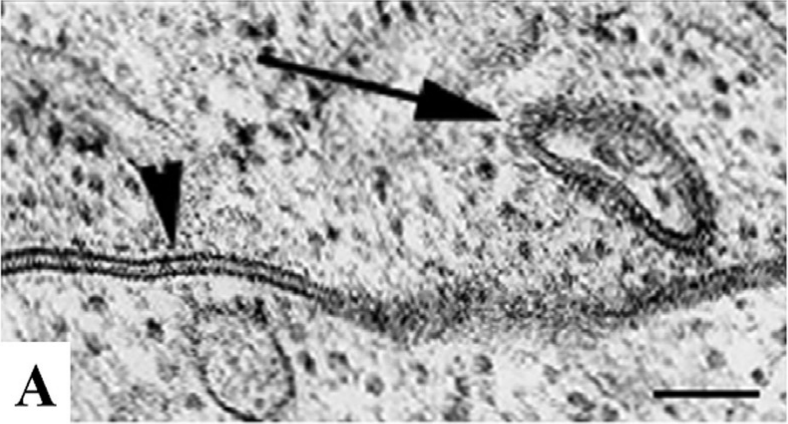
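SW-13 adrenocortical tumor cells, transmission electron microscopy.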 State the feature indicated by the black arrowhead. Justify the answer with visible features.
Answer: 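The apposed membranes form a layered, multilaminar band.
Hence: gap junction plaques.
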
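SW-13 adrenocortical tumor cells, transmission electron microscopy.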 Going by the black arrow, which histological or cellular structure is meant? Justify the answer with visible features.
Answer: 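A closed loop of thick, layered membrane lies in the cytoplasm. The loop encloses a lumen containing other membrane profiles. Its layered membrane resembles the junction along the cell border.
Annular gap junctions.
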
